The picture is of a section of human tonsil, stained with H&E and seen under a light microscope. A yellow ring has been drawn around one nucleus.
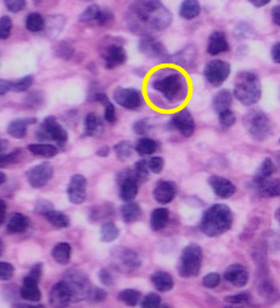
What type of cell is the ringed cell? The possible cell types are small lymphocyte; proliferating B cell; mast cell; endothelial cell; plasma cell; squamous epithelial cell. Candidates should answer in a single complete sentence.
As to its cell type, the ringed cell is a proliferating B cell.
